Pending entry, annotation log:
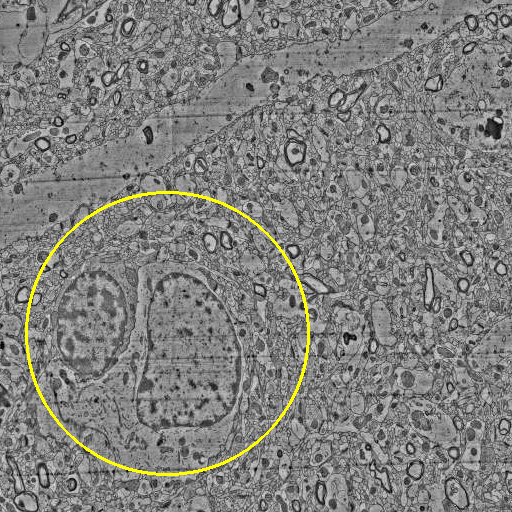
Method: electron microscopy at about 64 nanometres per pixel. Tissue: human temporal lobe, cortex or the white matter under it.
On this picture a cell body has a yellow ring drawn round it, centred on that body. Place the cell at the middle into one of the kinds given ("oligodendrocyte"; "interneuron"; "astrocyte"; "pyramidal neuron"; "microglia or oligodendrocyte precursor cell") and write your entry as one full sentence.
The cell body at the middle of the yellow ring belongs to a microglial cell or oligodendrocyte precursor cell.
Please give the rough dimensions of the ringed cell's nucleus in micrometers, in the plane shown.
The nucleus of the ringed cell is clearly longer than it is wide in this plane, about 10 by 6 micrometres.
